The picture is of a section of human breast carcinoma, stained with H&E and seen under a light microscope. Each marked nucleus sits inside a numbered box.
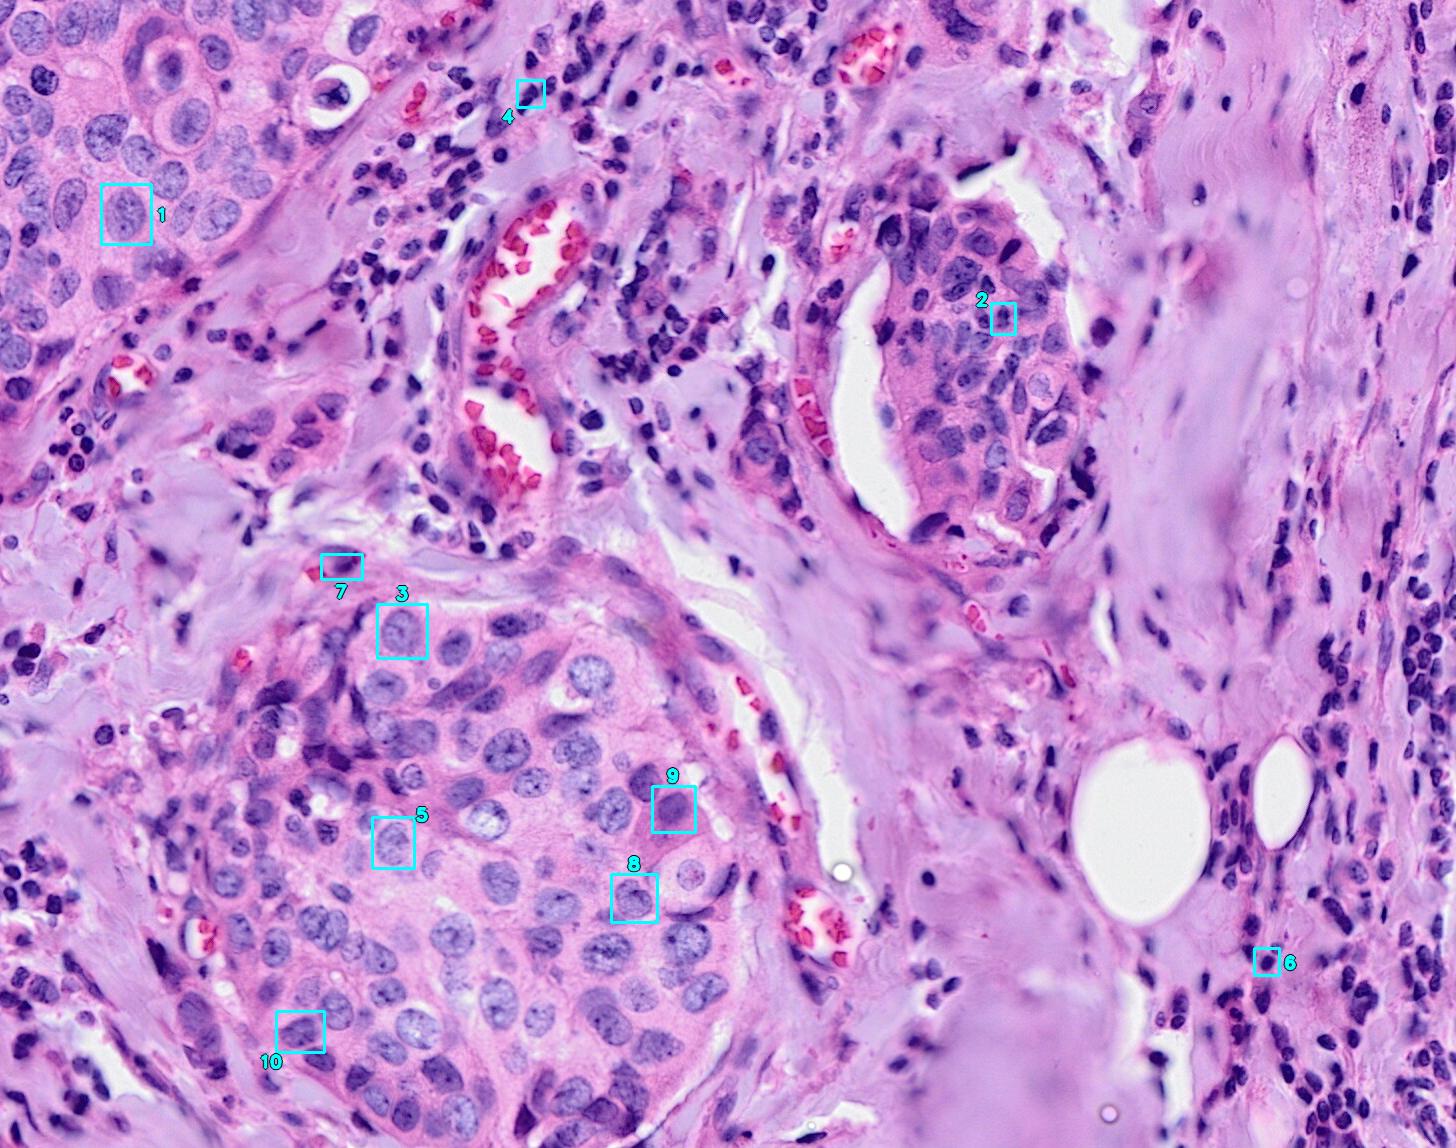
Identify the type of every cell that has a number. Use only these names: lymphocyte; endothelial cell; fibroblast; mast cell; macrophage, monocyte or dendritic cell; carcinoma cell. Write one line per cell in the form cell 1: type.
cell 1: carcinoma cell
cell 2: lymphocyte
cell 3: carcinoma cell
cell 4: lymphocyte
cell 5: carcinoma cell
cell 6: lymphocyte
cell 7: endothelial cell
cell 8: carcinoma cell
cell 9: carcinoma cell
cell 10: carcinoma cell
